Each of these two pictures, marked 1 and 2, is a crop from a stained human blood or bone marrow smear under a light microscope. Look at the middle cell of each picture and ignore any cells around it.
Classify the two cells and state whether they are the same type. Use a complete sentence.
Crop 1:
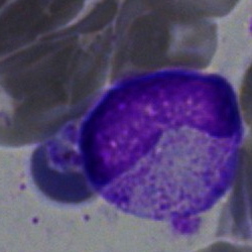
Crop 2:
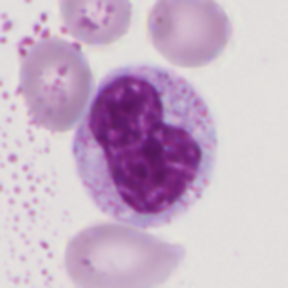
Yes, both crops, not just one, show metamyelocytes.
